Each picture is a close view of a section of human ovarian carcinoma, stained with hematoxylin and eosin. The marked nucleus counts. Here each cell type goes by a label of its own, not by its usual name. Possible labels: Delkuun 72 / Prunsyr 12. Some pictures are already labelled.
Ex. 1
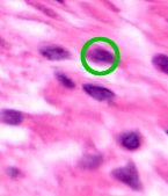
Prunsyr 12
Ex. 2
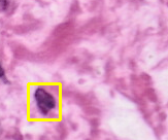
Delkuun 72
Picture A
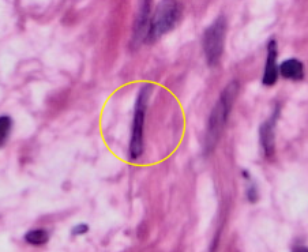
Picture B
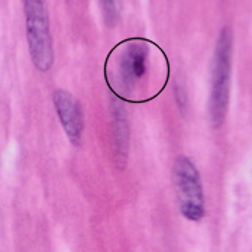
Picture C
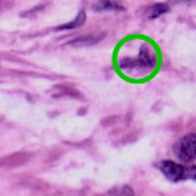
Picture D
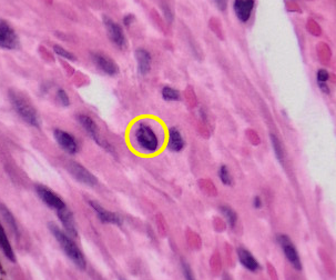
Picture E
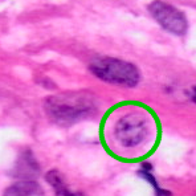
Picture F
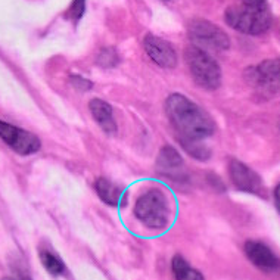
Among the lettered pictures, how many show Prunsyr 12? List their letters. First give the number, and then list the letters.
Count: 3 (A, B, C)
